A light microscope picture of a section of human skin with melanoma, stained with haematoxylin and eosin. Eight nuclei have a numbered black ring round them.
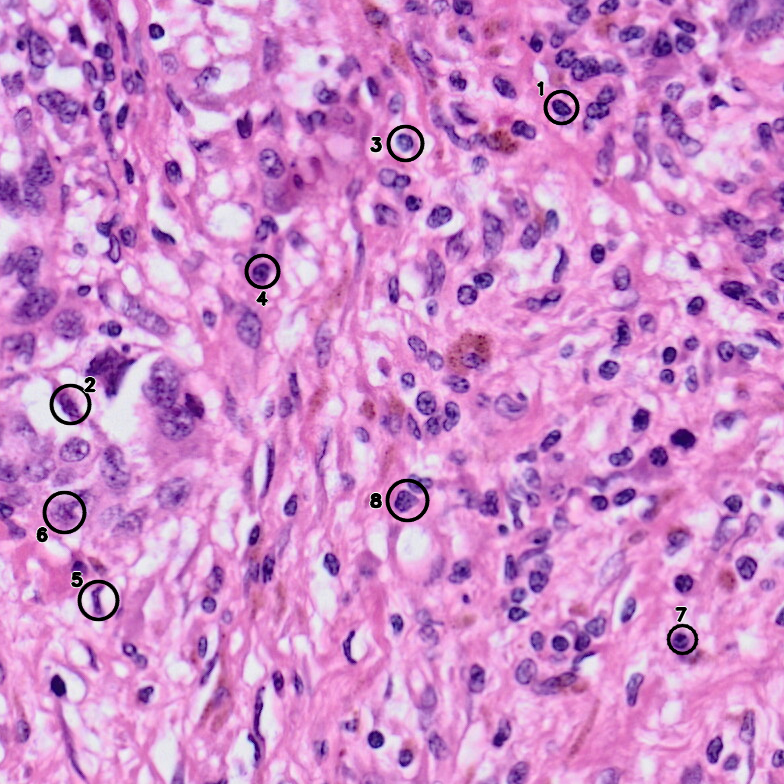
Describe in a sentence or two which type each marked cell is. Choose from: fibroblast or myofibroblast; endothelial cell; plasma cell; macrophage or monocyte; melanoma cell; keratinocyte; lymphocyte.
Cell 1 is a lymphocyte, cell 2 is a melanoma cell, cell 3 is a lymphocyte, cell 4 is a plasma cell, cell 5 is a fibroblast or myofibroblast, cell 6 is a melanoma cell, cell 7 is a plasma cell and cell 8 is a lymphocyte.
